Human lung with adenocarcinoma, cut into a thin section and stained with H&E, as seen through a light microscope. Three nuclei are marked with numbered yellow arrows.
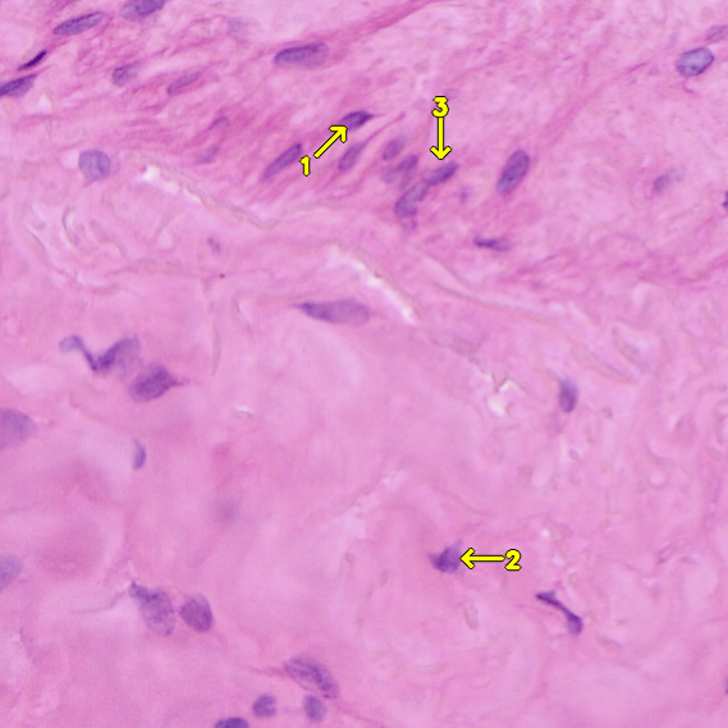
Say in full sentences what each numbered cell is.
Cells 1 and 3 are smooth muscle cells or pericytes. Cell 2 is a fibroblast.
